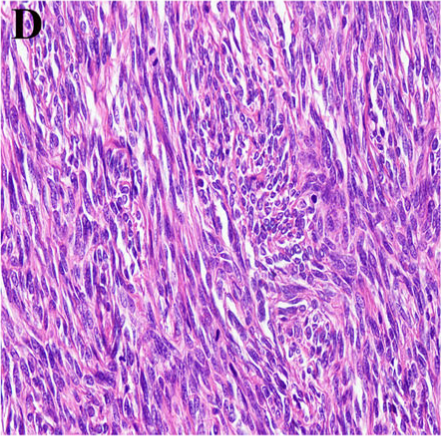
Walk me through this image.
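Hypercellular tumour tissue made of spindle cells in short compact fascicles. The cells are elongated with elongated to oval, dark purple nuclei, some larger and more irregular than others. Fascicles run in differing directions and abut each other with little intervening stroma. Cytoplasm is scant and pale pink with indistinct cell borders.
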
